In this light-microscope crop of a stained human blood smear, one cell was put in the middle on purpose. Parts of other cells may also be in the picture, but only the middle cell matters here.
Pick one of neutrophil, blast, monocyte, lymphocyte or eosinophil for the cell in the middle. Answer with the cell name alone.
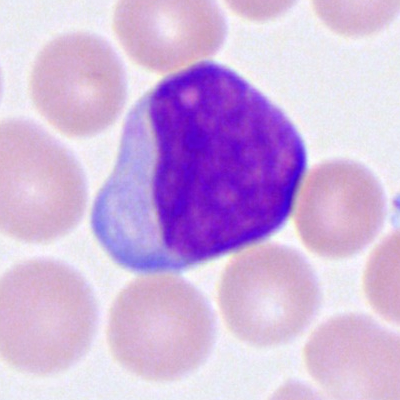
blast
